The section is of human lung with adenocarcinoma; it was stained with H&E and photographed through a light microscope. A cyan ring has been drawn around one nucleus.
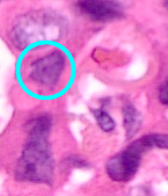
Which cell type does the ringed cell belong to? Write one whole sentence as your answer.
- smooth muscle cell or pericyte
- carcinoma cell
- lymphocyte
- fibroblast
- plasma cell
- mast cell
As far as its identity is concerned, the ringed cell is a carcinoma cell.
